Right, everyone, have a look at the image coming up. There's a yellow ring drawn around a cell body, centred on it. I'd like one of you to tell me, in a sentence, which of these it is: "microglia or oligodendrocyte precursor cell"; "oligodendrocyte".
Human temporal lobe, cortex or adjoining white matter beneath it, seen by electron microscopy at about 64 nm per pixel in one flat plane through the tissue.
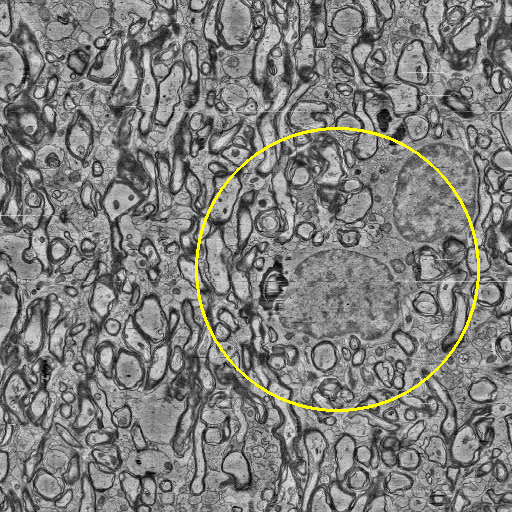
The yellow ring sits on an oligodendrocyte.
